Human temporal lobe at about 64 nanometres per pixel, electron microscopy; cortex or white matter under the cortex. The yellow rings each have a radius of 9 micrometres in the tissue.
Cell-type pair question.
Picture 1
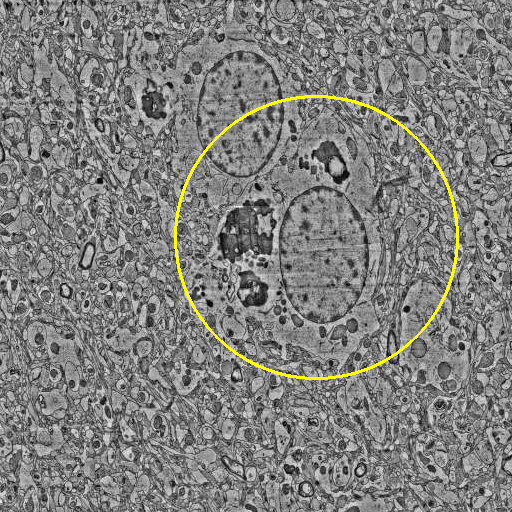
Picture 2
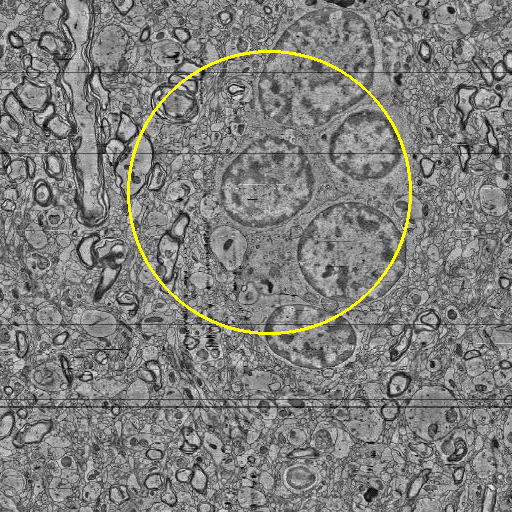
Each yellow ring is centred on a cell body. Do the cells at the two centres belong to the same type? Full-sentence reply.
No, the two cells belong to two types.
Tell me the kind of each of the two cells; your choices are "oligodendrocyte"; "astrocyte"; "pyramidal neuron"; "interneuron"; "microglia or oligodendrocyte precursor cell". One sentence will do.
The ringed cell is an astrocyte in the first picture and an oligodendrocyte in the second picture.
